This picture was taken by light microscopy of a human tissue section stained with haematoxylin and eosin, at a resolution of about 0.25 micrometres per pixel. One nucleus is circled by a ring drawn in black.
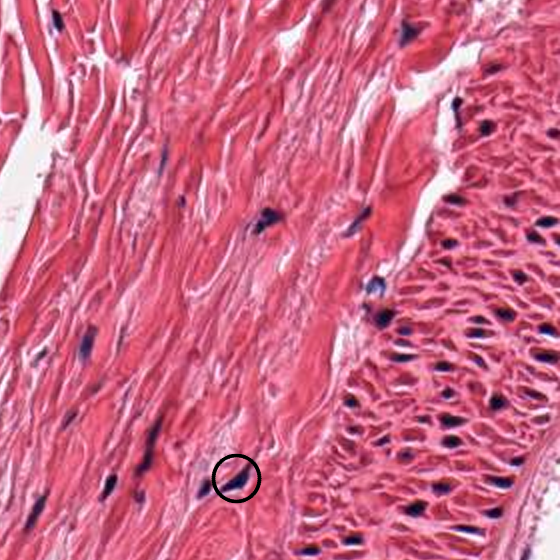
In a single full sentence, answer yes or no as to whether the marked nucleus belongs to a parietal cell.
No, it is a supporting cell whose nucleus is marked, not a parietal cell.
